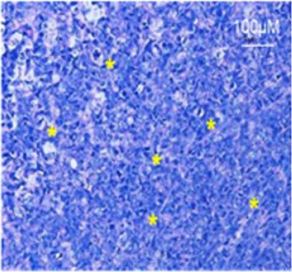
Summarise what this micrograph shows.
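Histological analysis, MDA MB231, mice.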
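Section of tumor tissue made of a solid, closely packed sheet of tumor cells with no obvious glandular or layered arrangement. The nuclei are round to oval and stain blue to purple. A few small clear spaces and some faintly pink cells lie among them.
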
